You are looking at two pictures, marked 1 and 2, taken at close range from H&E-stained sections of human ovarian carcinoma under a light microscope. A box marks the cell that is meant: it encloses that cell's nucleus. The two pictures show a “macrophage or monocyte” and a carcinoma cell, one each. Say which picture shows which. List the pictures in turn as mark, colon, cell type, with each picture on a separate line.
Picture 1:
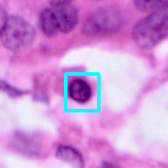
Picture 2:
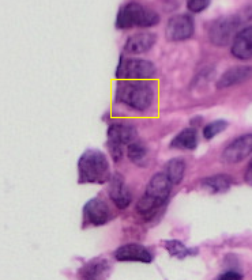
1: macrophage or monocyte
2: carcinoma cell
